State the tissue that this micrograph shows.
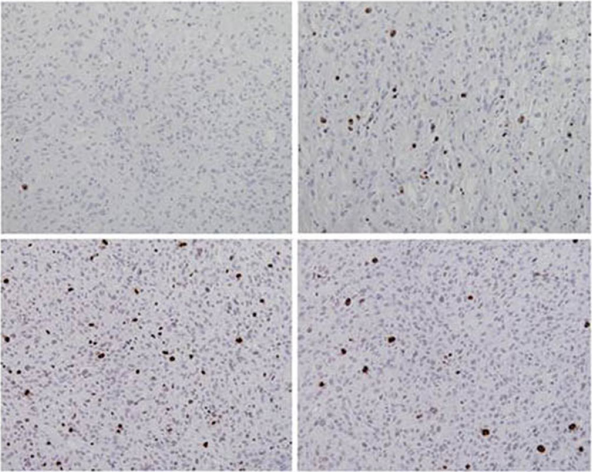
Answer: Tumor tissue.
